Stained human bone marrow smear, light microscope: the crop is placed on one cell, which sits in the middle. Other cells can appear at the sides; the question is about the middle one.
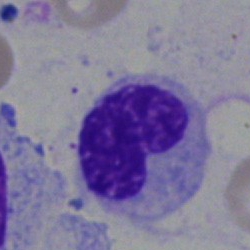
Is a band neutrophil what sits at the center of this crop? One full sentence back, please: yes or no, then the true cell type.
Yes, the cell positioned at the centre of the crop is a band neutrophil.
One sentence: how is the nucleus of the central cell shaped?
Between us, the nucleus here is just one compact mass, round, oval or kidney-shaped.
